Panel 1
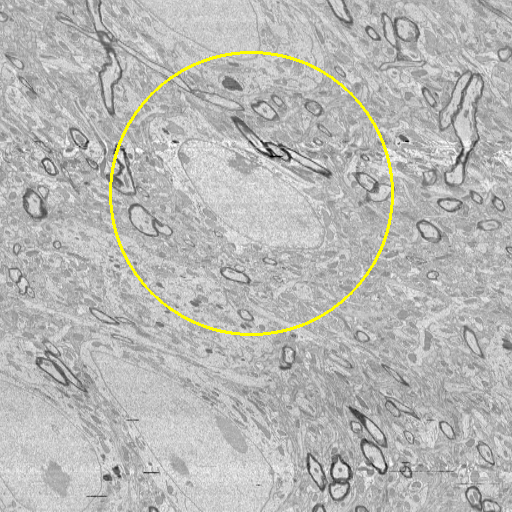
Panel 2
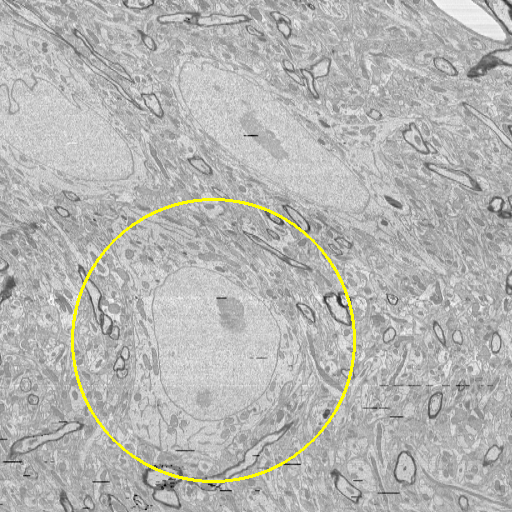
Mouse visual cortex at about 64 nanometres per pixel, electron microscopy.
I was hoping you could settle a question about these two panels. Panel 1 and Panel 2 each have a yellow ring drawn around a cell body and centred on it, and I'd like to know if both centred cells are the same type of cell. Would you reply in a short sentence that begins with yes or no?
No, they are two types of cell.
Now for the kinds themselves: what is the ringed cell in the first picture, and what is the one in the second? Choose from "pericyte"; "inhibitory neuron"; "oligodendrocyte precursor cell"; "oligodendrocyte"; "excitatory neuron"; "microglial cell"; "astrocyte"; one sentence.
Here the first cell is an astrocyte and the second cell is an excitatory neuron.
